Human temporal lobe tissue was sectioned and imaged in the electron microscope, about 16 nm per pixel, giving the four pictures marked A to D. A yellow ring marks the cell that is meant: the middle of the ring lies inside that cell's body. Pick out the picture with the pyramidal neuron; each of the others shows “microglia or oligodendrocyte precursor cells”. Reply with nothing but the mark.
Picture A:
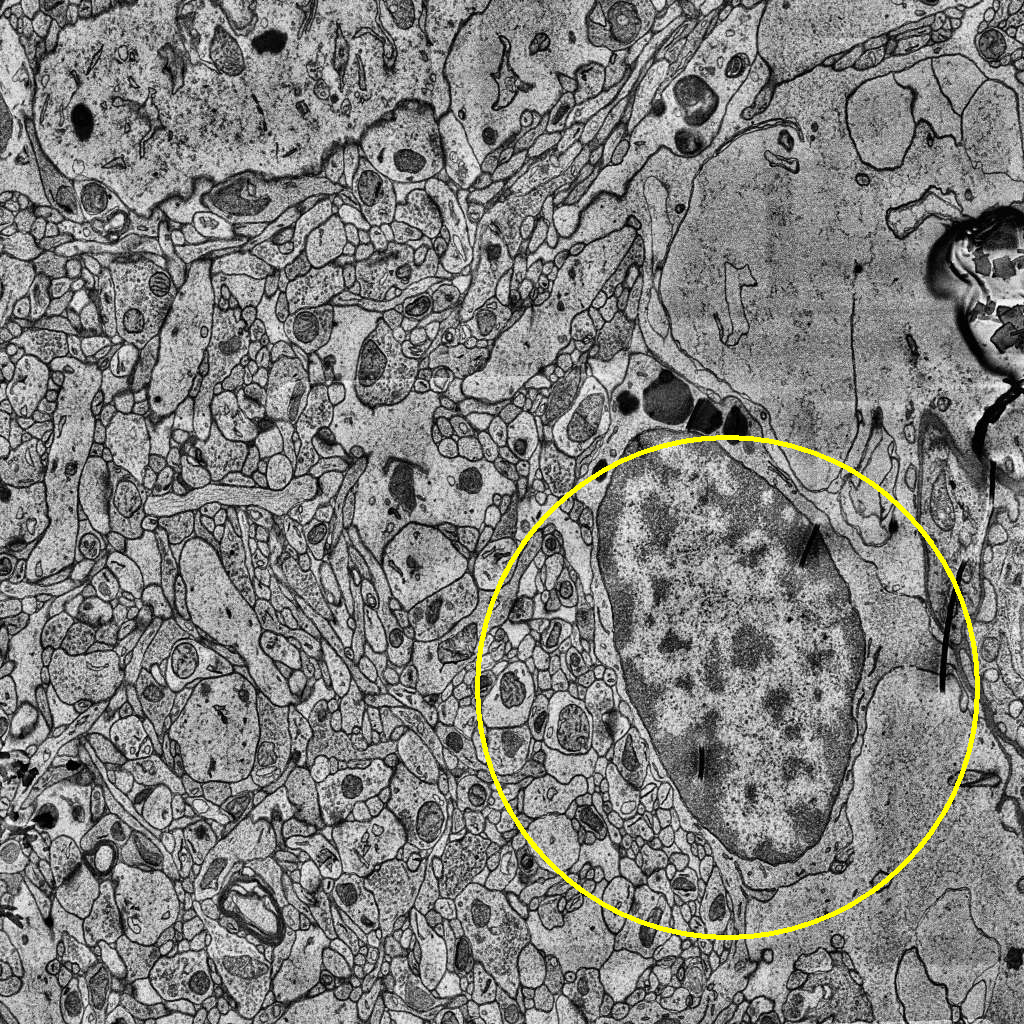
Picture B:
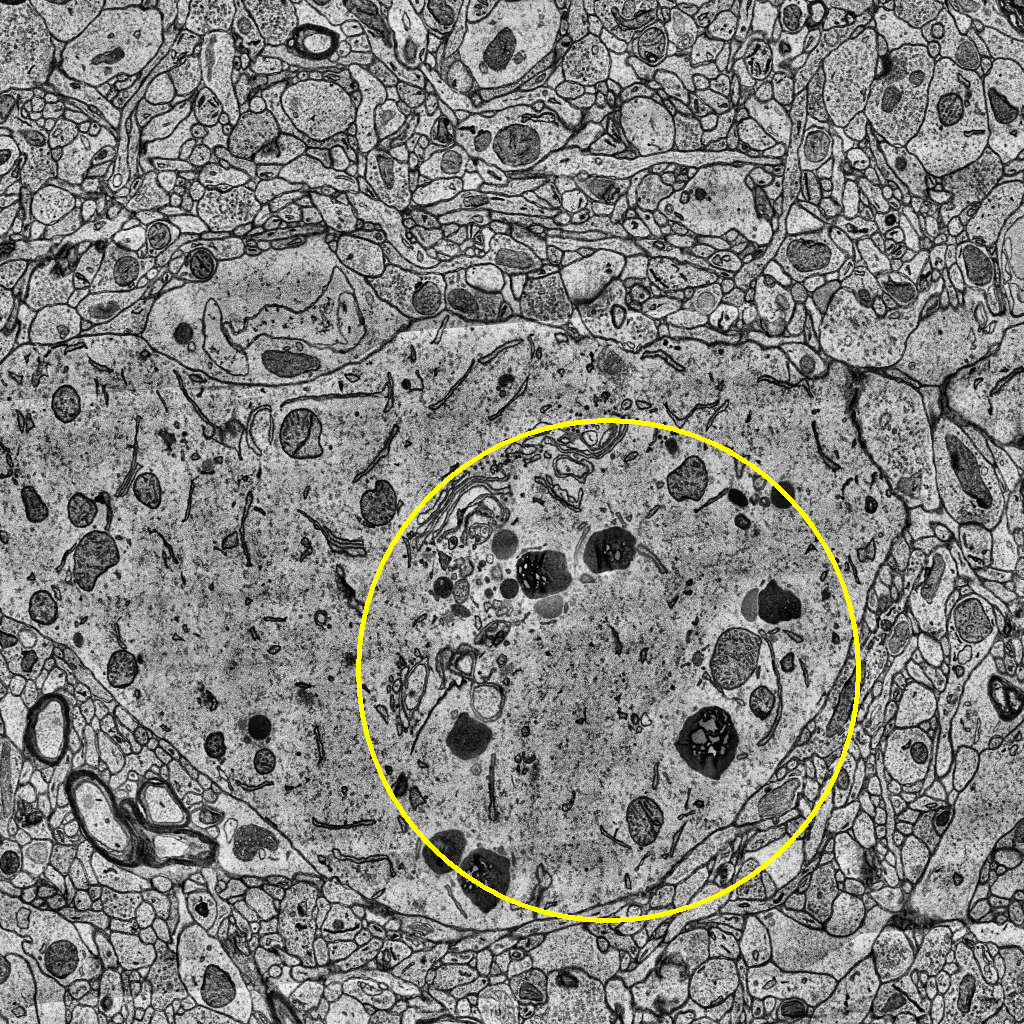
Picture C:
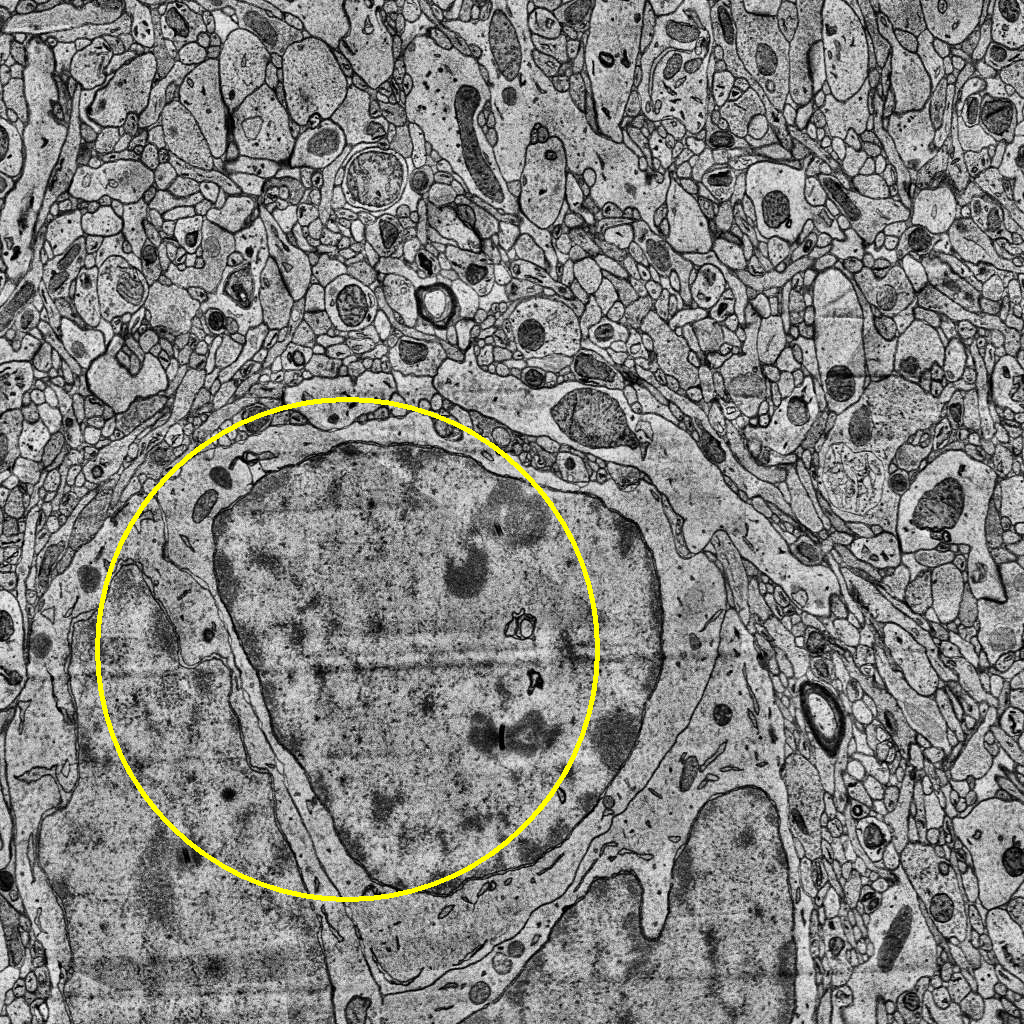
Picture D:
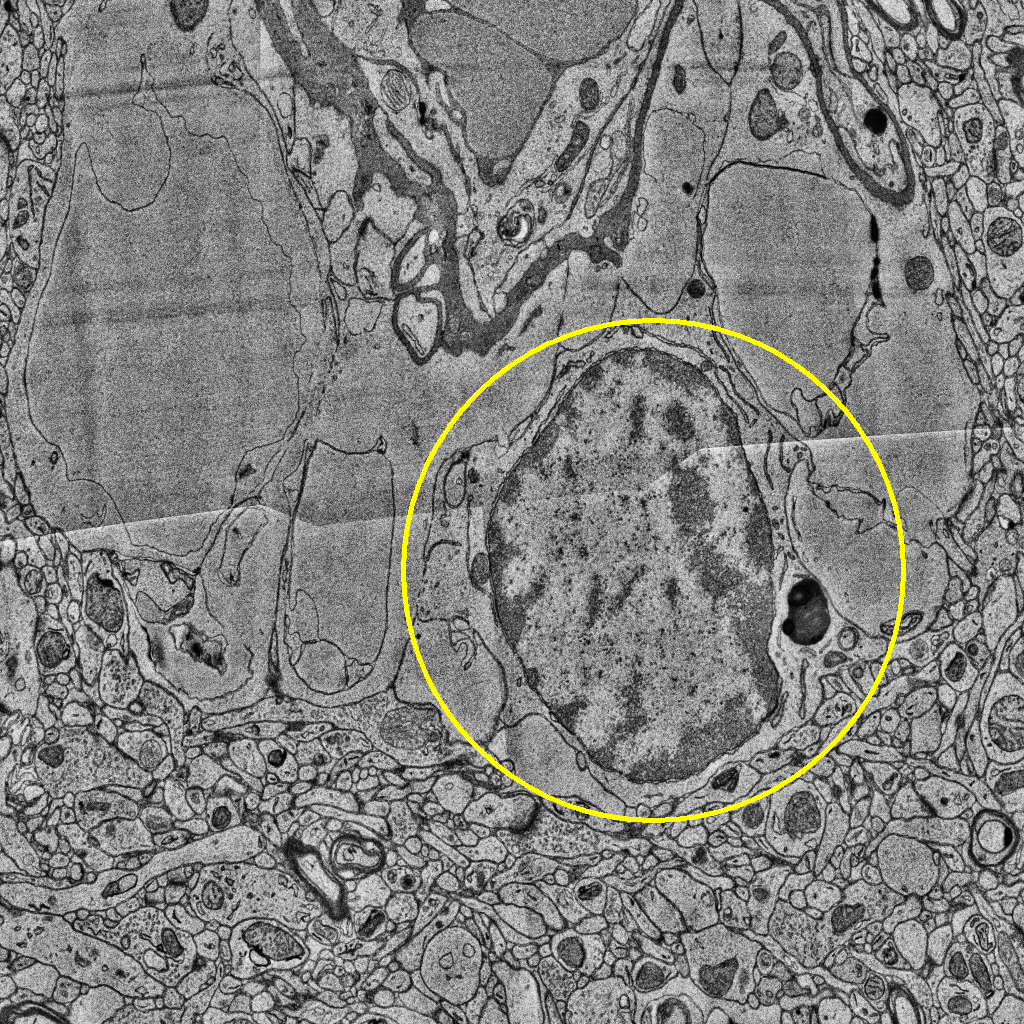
B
